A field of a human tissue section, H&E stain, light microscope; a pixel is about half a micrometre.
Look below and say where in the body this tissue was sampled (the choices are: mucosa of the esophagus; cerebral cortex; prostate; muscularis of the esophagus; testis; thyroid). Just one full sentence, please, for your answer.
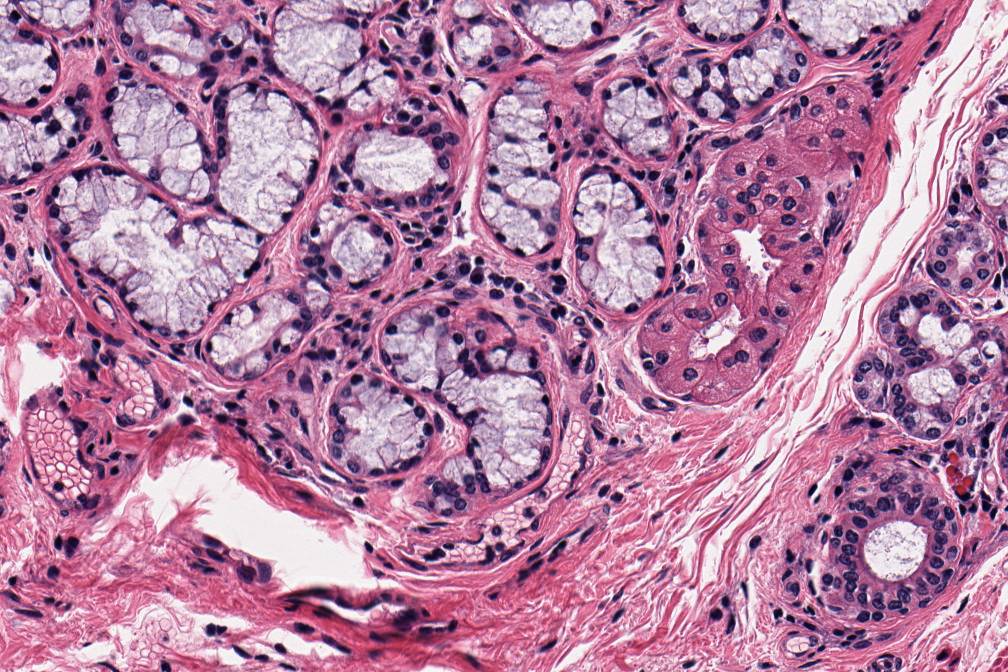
This sample of human tissue comes from the mucosa of the esophagus.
